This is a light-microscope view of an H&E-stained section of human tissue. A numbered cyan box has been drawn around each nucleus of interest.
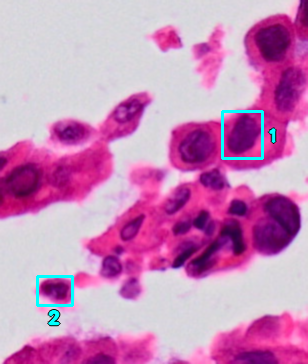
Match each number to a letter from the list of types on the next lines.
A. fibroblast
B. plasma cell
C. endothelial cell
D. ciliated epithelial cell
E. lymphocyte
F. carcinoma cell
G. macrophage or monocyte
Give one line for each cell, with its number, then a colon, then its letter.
1: F
2: G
